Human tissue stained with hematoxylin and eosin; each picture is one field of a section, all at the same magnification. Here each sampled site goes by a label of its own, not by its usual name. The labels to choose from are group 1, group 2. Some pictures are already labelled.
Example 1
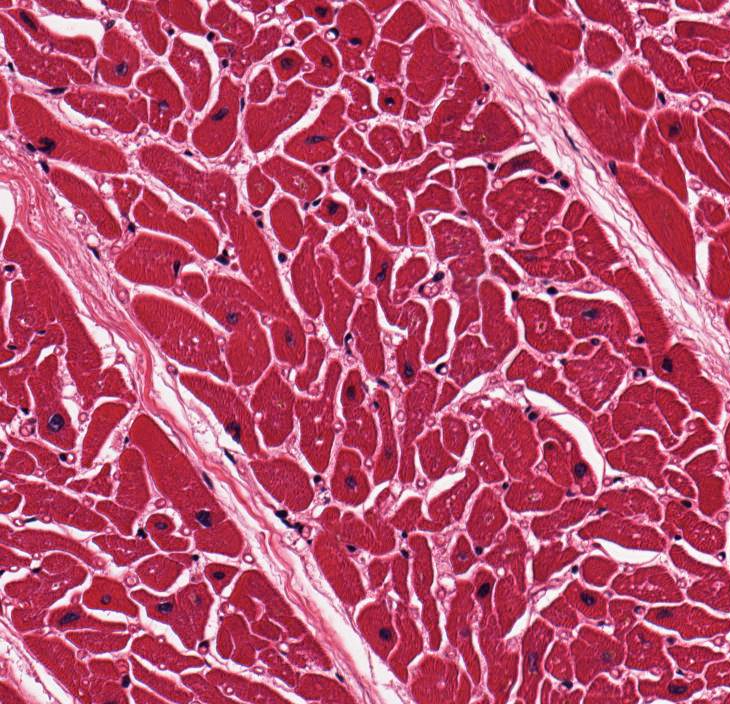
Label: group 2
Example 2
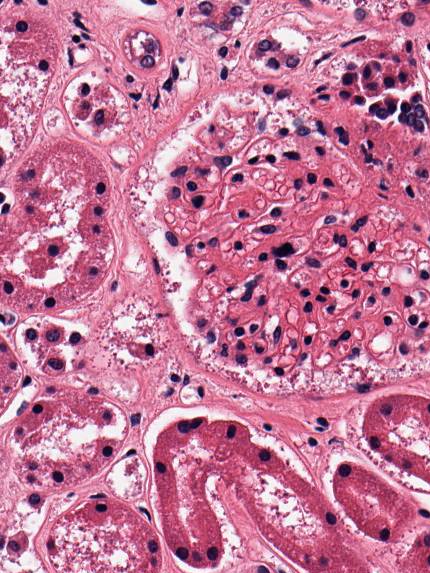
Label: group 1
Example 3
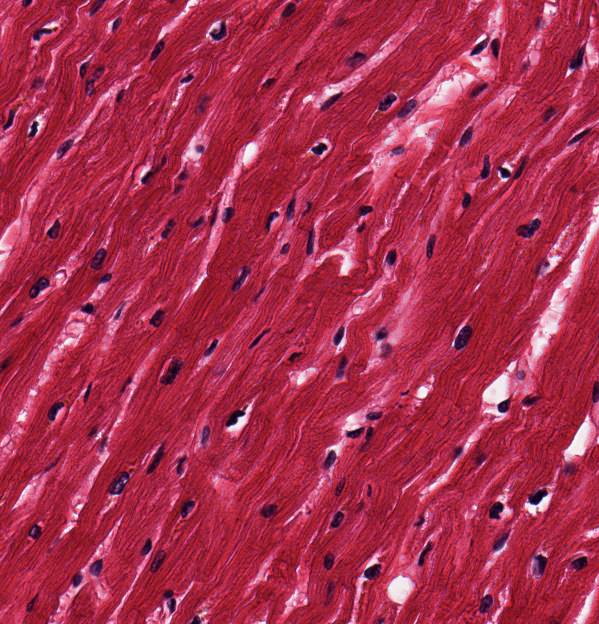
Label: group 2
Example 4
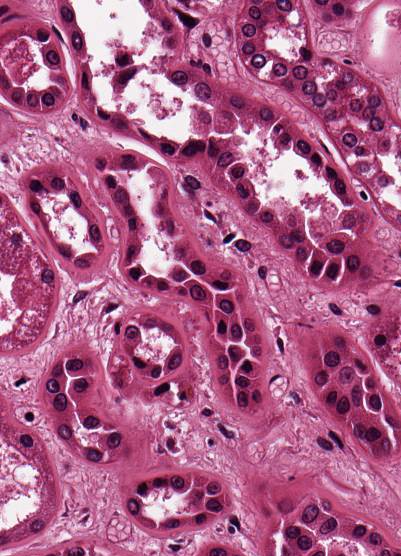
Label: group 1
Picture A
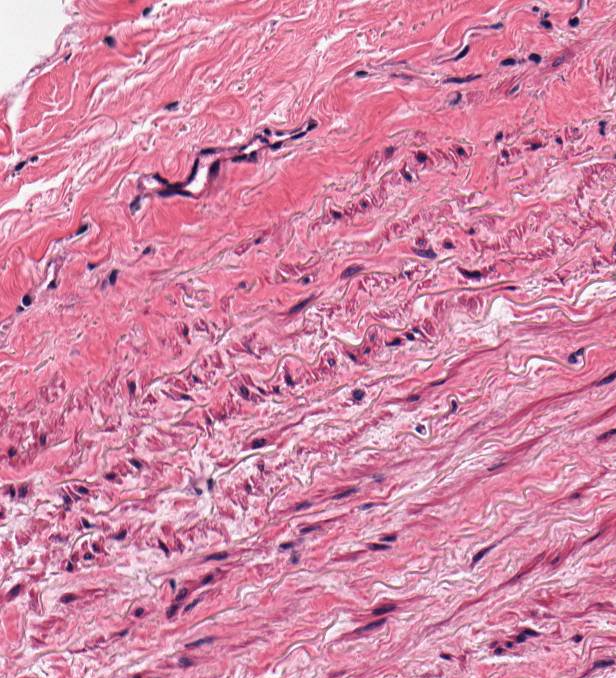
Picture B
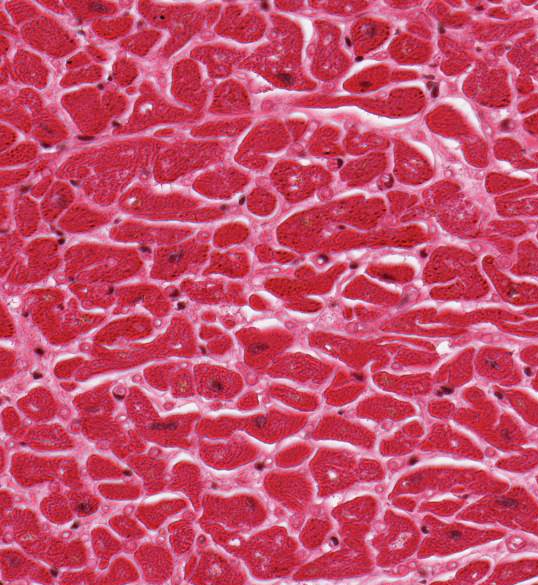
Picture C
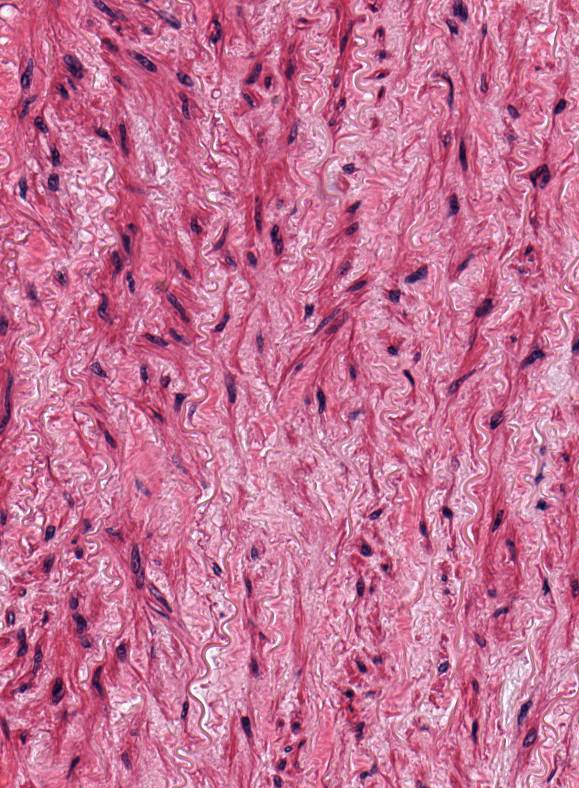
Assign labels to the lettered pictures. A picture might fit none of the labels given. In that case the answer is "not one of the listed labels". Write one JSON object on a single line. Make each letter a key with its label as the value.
{"A": "not one of the listed labels", "B": "group 2", "C": "not one of the listed labels"}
